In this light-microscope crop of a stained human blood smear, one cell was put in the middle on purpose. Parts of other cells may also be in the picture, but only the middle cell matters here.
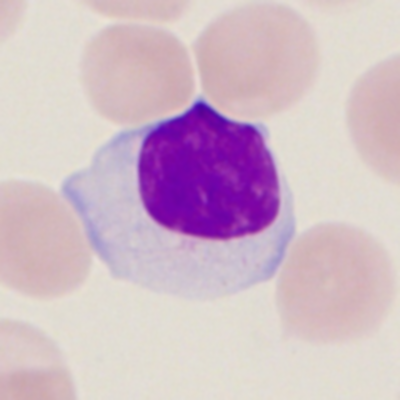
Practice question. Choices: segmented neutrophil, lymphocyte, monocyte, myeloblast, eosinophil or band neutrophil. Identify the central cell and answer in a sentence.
In short, the cell at the center is a lymphocyte.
